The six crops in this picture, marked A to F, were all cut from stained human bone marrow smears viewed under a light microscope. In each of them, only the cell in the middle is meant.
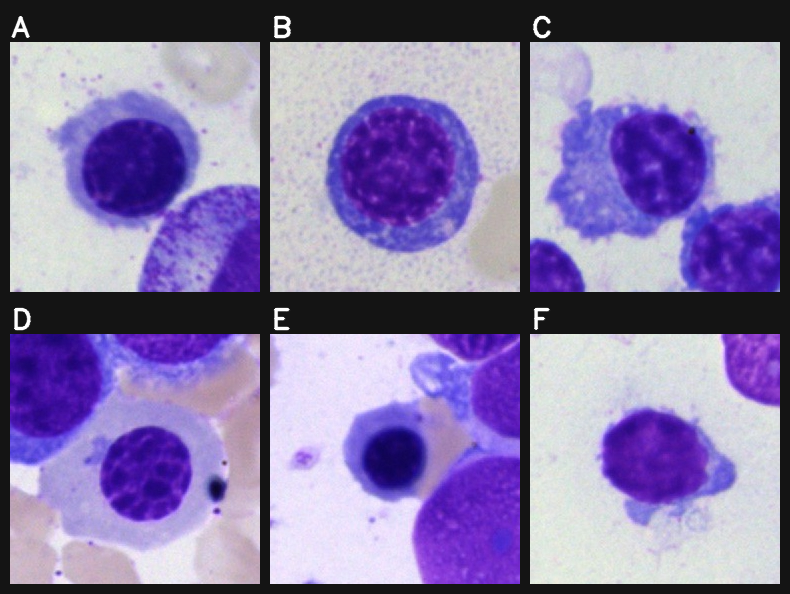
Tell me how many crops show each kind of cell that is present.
erythroblast: 4
plasma cell: 1
lymphocyte: 1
